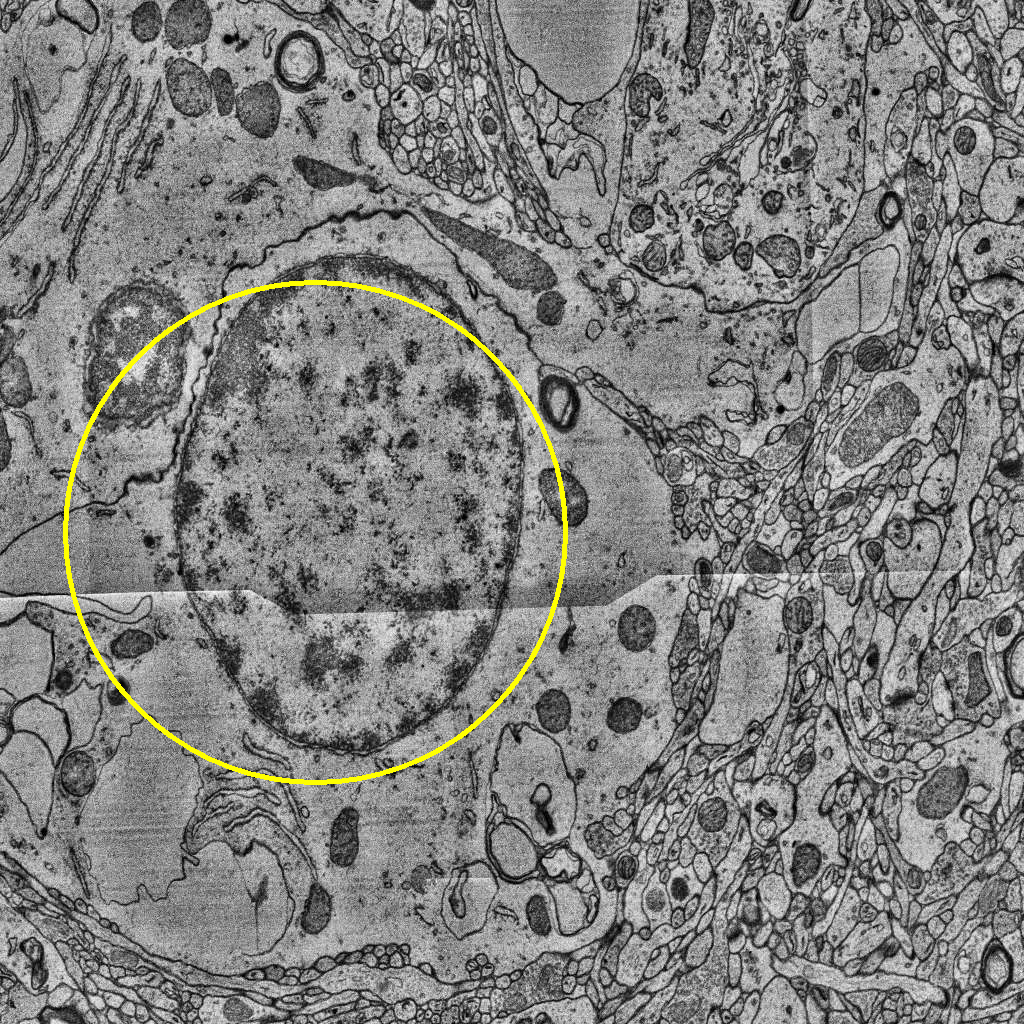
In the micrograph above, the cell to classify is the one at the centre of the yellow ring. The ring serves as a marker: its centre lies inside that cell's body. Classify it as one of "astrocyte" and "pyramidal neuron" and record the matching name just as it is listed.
astrocyte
